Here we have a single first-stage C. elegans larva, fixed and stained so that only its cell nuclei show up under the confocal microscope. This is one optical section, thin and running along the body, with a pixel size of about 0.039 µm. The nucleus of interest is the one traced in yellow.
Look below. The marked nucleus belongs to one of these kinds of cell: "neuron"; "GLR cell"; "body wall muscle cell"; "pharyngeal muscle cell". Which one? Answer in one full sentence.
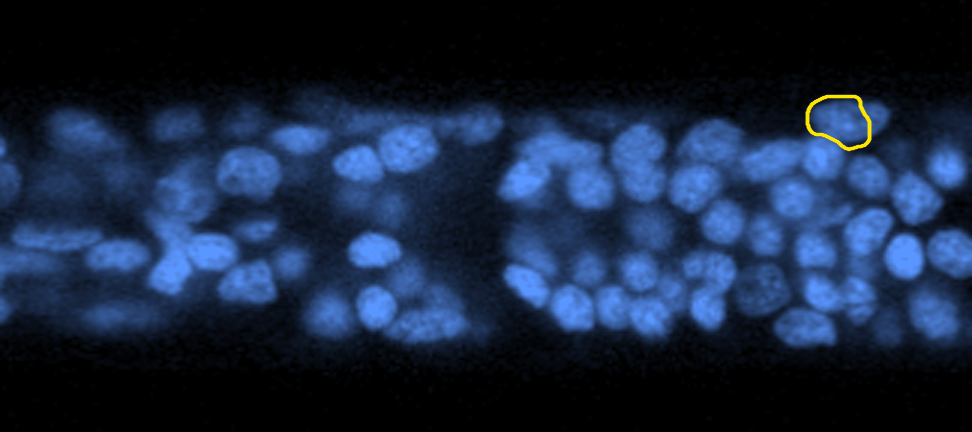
The marked cell is a body wall muscle cell.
